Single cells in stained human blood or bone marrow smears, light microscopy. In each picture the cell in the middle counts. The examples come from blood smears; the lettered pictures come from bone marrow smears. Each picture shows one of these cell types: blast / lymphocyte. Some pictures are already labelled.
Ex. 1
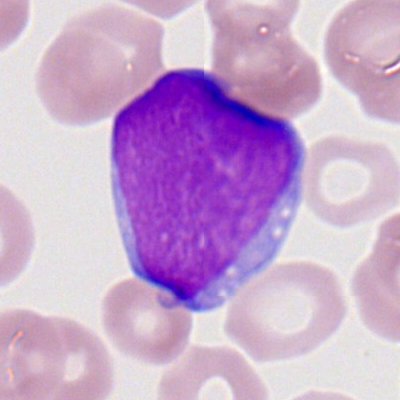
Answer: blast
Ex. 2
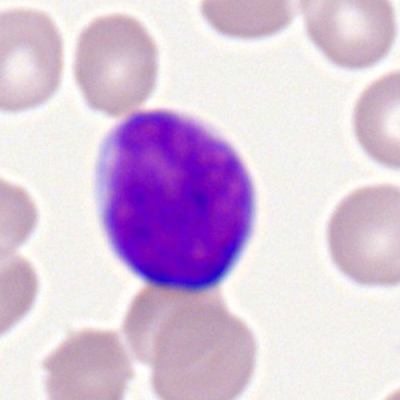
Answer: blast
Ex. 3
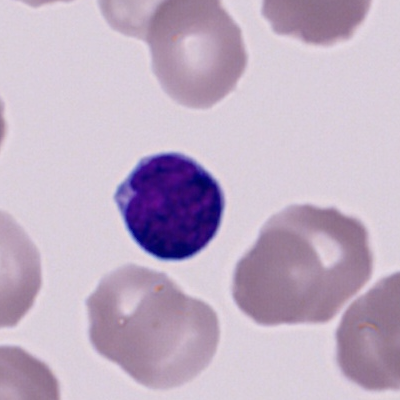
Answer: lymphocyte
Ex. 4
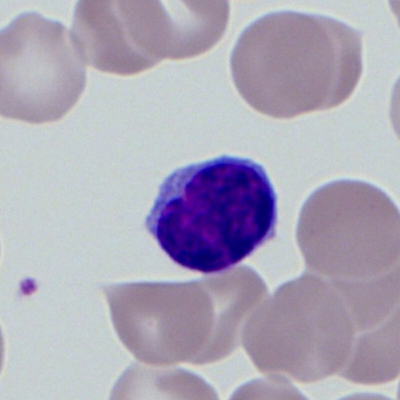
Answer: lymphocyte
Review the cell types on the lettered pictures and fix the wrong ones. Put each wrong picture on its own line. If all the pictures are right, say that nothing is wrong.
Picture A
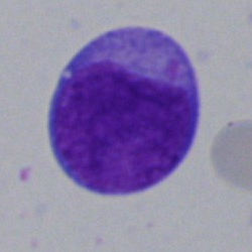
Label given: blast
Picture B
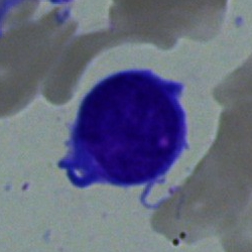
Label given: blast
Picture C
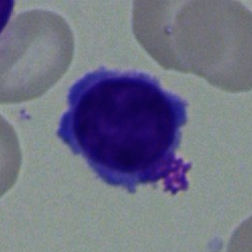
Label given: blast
C: change blast to lymphocyte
